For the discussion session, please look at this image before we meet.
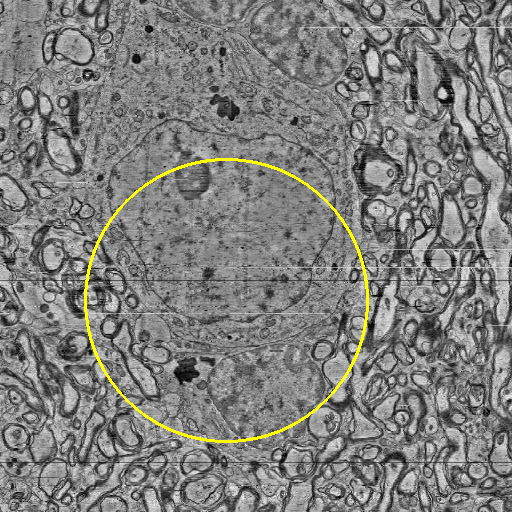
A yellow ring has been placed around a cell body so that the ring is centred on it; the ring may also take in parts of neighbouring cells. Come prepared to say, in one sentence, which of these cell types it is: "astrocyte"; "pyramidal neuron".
The cell centred in the ring is a pyramidal neuron.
